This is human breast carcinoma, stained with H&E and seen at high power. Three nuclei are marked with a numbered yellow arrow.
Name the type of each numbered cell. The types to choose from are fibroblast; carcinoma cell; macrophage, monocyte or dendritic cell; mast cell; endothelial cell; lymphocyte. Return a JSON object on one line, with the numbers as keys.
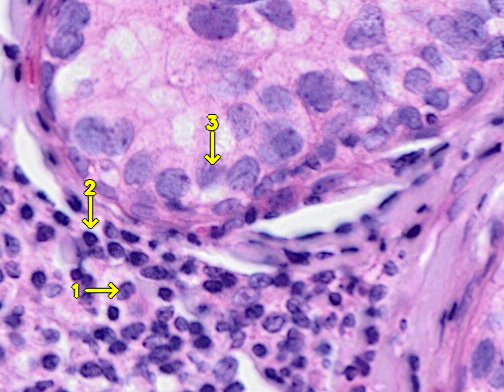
{"1": "lymphocyte", "2": "lymphocyte", "3": "carcinoma cell"}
